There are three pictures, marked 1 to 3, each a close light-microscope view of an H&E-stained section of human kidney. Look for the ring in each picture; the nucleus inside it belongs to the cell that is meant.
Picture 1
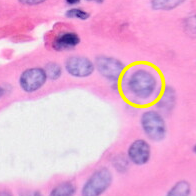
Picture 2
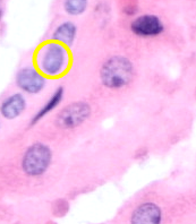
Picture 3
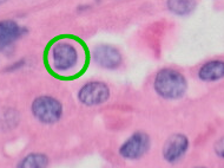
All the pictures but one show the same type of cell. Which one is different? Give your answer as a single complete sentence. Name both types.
Picture 3 is the odd one out: it shows a “loop of Henle or distal tubule cell”, while the others show collecting duct cells.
